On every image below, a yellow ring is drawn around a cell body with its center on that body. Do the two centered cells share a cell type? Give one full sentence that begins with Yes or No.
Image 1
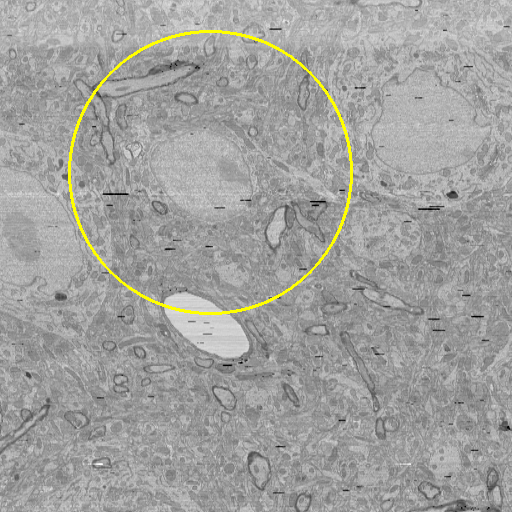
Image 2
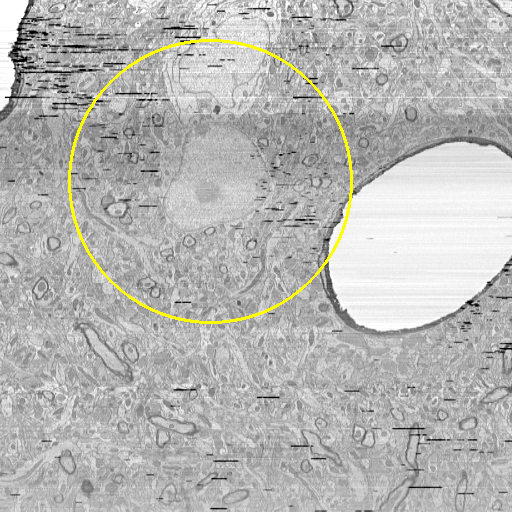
Yes, the centered cells in the two images are of a single cell type.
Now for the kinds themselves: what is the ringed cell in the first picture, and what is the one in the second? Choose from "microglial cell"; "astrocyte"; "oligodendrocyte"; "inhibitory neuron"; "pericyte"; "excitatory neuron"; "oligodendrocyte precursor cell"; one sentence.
Each of the two cells is an astrocyte.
